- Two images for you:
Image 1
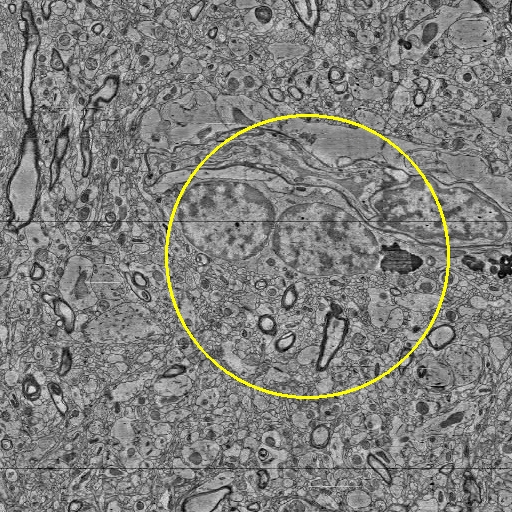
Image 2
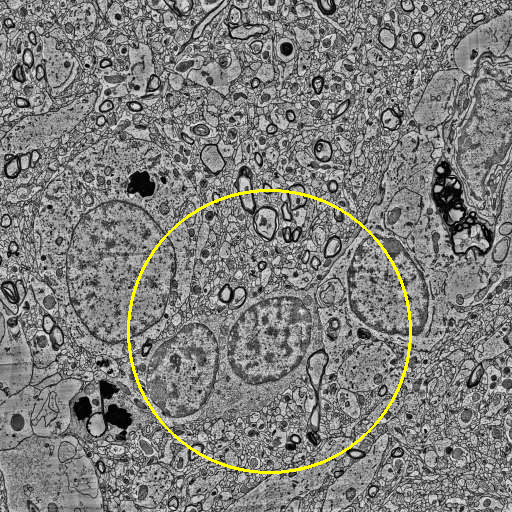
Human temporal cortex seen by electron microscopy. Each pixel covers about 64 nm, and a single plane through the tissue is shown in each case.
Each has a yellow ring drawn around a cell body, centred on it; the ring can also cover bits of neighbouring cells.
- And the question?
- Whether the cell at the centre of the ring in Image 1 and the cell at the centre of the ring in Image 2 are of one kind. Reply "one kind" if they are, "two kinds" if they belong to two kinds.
one kind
